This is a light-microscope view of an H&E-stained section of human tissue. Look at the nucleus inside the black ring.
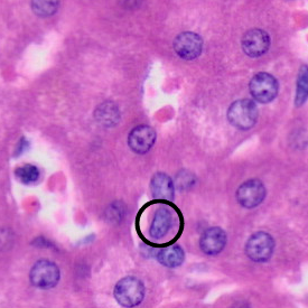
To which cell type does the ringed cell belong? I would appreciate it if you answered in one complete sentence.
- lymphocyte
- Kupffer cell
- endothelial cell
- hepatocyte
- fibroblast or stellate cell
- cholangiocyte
As far as its identity is concerned, the ringed cell is a cholangiocyte.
